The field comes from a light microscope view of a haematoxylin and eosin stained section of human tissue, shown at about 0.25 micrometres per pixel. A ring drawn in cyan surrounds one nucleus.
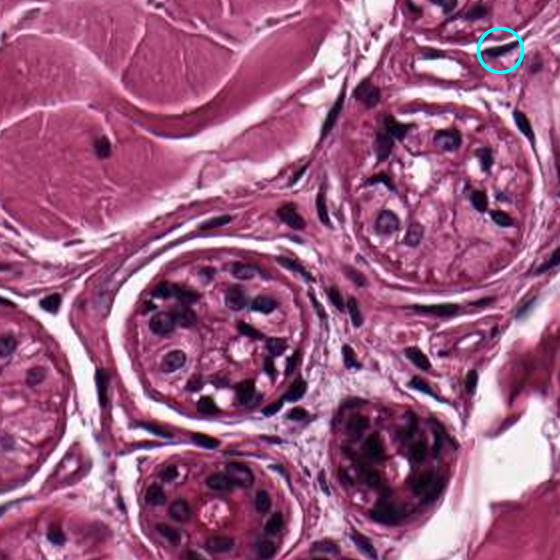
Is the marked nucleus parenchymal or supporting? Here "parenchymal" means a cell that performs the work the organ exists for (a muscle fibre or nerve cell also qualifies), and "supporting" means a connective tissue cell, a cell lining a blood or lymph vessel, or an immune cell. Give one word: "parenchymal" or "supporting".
supporting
